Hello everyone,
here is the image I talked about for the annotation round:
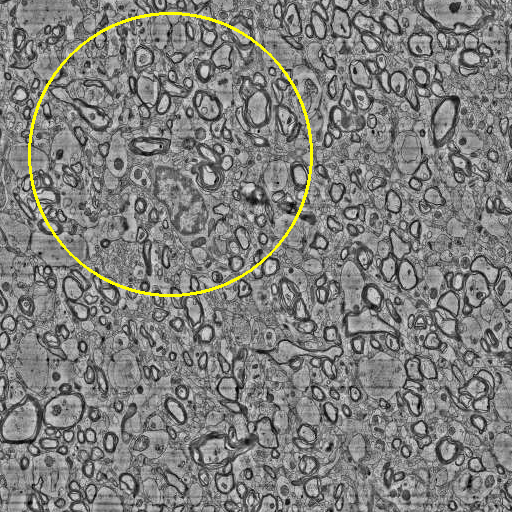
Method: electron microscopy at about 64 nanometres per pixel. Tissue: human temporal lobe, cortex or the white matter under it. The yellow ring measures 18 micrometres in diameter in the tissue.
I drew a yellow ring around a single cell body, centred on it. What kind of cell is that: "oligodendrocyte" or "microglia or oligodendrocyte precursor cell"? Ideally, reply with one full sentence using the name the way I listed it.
The cell your yellow ring is centred on is an oligodendrocyte, going by your list.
